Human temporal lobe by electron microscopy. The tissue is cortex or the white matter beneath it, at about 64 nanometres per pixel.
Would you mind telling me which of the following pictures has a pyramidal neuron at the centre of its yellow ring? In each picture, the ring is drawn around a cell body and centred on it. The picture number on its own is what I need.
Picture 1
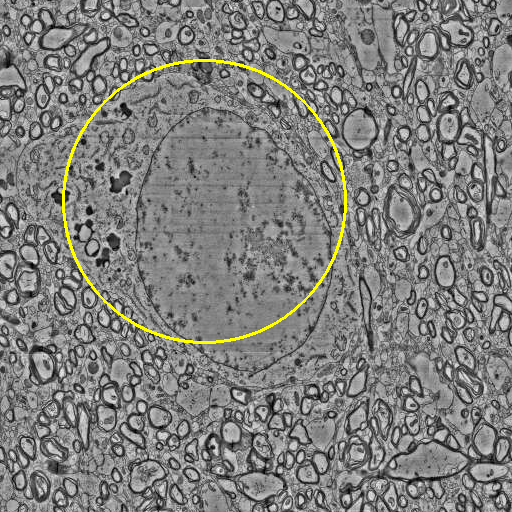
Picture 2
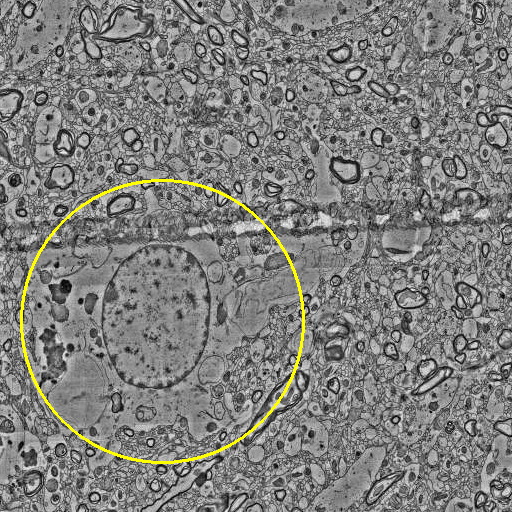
1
